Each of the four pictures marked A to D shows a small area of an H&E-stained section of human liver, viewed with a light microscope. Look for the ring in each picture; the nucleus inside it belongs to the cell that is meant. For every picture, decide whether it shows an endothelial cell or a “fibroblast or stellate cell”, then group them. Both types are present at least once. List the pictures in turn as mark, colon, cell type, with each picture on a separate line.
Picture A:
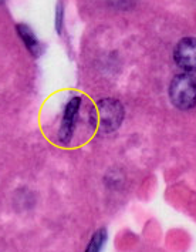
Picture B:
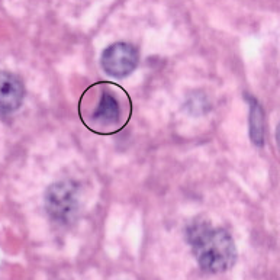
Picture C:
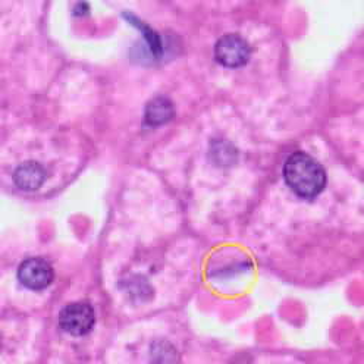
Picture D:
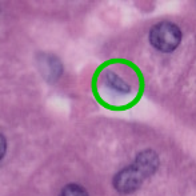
A: fibroblast or stellate cell
B: fibroblast or stellate cell
C: endothelial cell
D: endothelial cell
